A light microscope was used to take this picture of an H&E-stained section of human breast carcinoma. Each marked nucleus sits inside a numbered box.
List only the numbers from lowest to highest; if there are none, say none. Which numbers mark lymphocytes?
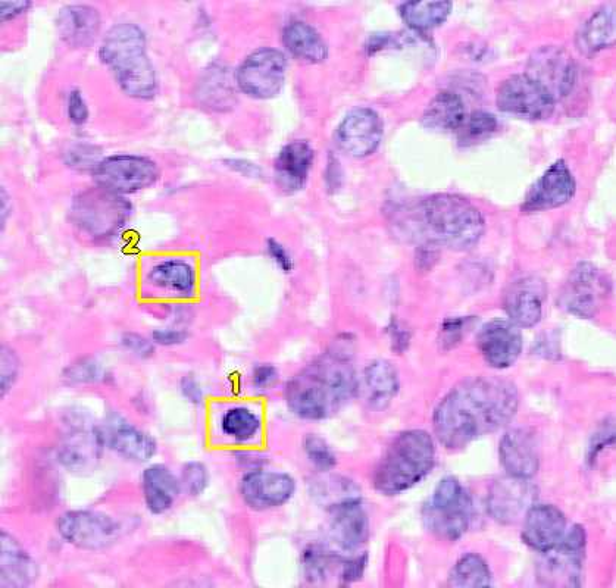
1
